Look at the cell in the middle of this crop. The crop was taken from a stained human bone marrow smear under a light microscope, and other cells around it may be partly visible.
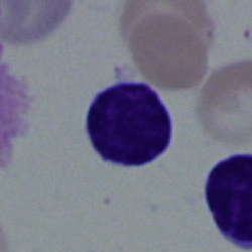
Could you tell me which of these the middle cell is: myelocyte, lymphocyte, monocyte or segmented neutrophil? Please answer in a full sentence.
The cell centred in this crop is categorized as a lymphocyte.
